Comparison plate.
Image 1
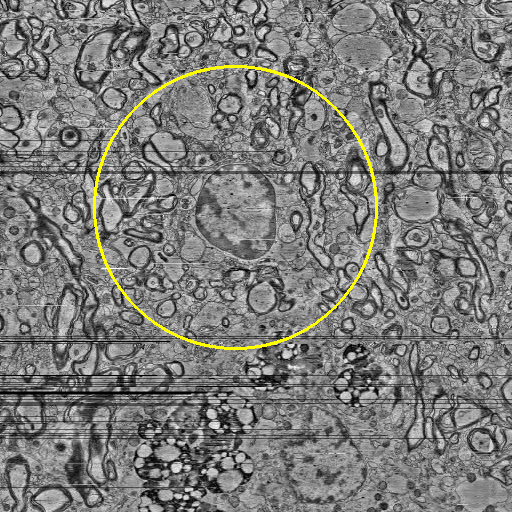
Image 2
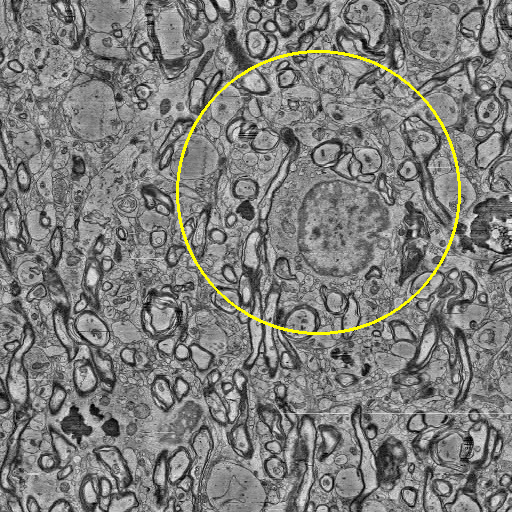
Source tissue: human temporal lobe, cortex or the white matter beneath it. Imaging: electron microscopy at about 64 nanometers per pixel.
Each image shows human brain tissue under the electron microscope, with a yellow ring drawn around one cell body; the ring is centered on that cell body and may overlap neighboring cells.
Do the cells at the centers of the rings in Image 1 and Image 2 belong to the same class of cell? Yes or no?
no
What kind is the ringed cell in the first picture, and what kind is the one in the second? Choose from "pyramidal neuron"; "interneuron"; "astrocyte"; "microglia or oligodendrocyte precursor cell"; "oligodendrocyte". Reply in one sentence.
The first cell is a microglial cell or oligodendrocyte precursor cell; the second is an oligodendrocyte.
